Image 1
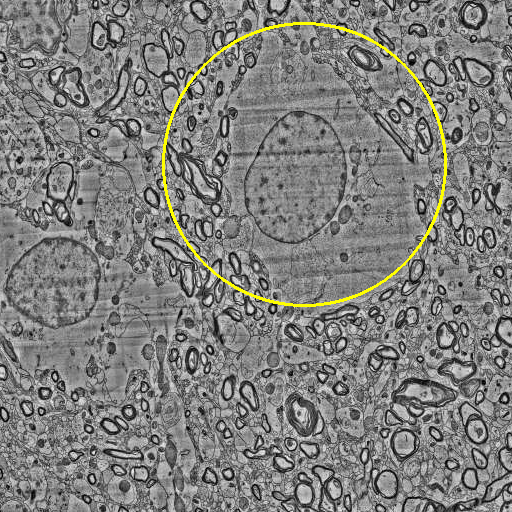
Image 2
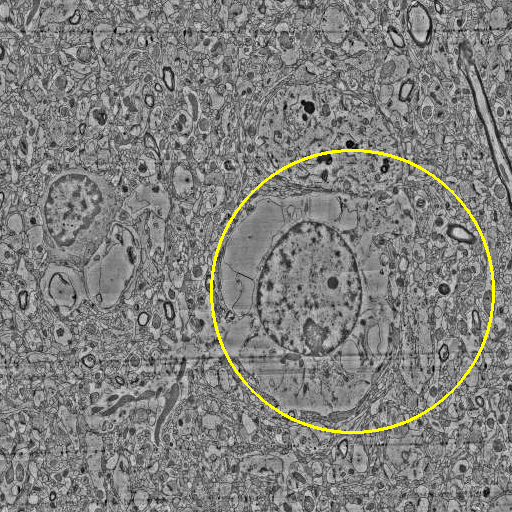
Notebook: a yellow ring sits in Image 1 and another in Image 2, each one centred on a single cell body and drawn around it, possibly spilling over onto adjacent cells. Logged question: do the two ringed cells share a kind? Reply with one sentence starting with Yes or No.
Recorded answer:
Yes, both centre cells inside the rings of Image 1 and Image 2 share one kind.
